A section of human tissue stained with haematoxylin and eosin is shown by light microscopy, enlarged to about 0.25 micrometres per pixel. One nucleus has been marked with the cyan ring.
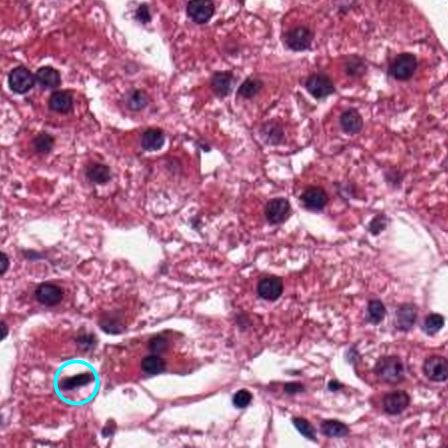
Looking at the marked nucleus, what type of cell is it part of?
endothelial cell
